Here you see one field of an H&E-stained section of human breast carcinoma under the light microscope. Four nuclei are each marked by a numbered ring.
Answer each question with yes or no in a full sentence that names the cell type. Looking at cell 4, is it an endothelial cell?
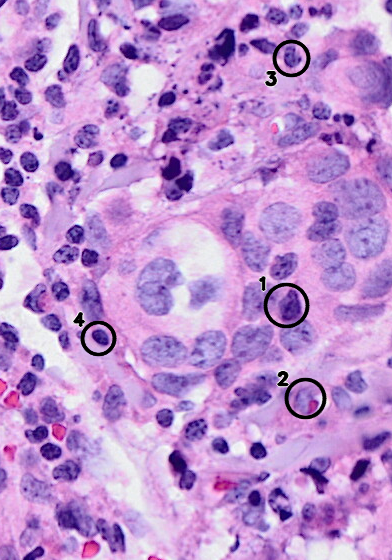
No, the cell at number 4 is a lymphocyte instead of an endothelial cell.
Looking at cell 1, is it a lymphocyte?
No, cell 1 is to be read as a carcinoma cell, not a lymphocyte.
